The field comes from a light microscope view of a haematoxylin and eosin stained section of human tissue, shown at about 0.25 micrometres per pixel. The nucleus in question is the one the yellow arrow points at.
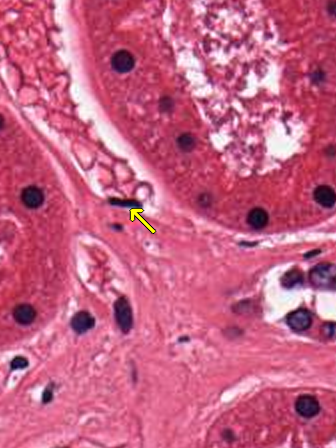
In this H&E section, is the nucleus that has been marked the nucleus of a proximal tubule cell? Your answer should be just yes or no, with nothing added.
no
